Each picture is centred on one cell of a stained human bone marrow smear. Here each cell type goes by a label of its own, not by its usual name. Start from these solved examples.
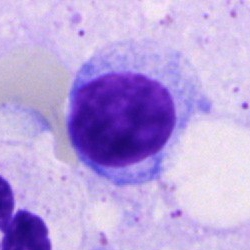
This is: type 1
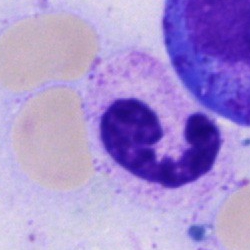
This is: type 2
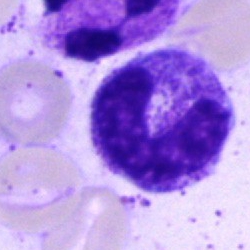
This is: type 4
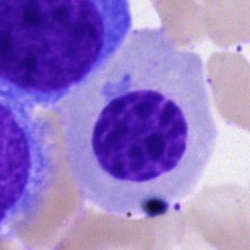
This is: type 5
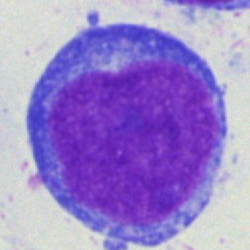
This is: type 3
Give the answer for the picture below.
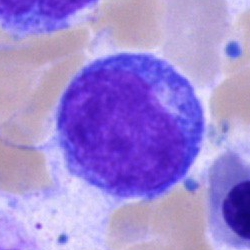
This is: type 3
